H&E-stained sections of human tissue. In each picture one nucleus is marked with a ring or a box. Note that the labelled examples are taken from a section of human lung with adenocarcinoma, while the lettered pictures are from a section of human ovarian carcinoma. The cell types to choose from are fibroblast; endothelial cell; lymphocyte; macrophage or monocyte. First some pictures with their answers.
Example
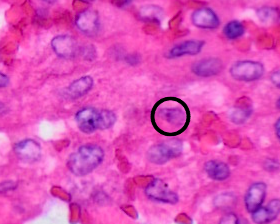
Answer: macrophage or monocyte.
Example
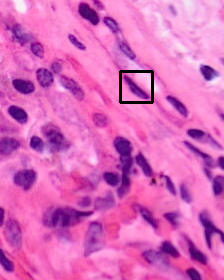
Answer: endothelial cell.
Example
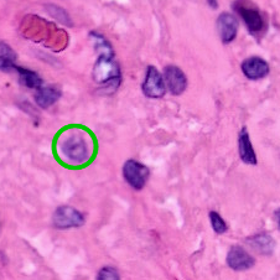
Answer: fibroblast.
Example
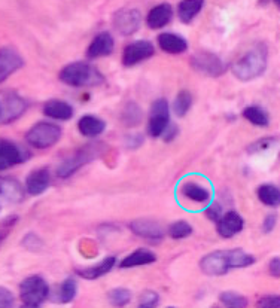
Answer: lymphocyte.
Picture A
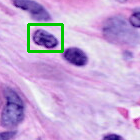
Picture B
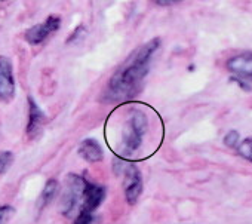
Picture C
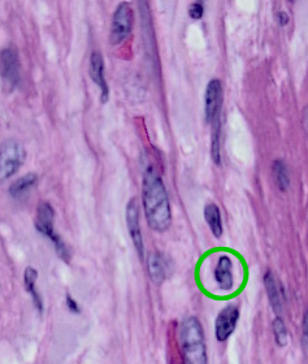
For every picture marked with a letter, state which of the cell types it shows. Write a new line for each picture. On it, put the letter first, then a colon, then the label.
A: lymphocyte.
B: fibroblast.
C: lymphocyte.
